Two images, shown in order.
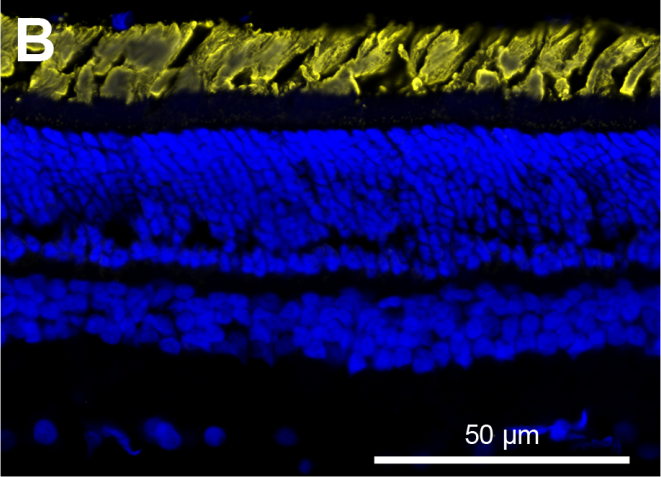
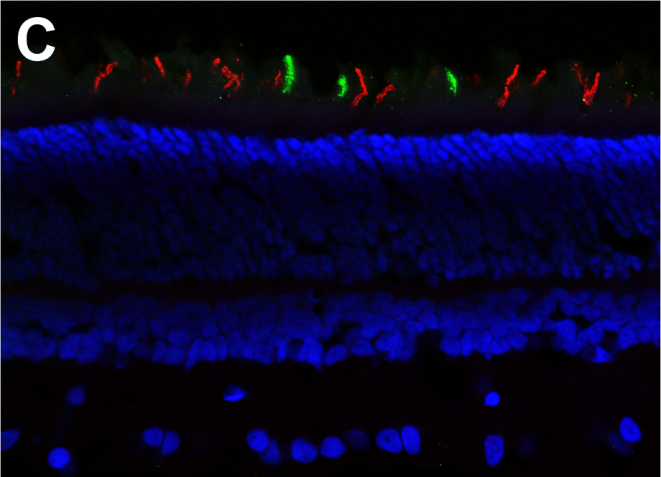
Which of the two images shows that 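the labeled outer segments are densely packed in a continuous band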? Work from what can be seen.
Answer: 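The first image. Second image: only scattered, widely spaced green and red profiles in the outer segment zone. First image: a continuous band of closely packed yellow profiles fills the outer segment zone.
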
